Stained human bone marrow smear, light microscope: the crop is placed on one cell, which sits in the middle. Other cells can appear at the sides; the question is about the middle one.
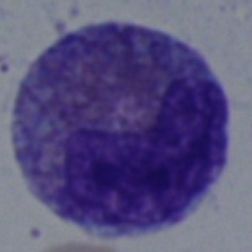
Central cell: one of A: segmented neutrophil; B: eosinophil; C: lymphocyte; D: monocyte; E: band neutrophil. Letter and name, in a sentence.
The central cell is an eosinophil, which makes option B the right answer.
